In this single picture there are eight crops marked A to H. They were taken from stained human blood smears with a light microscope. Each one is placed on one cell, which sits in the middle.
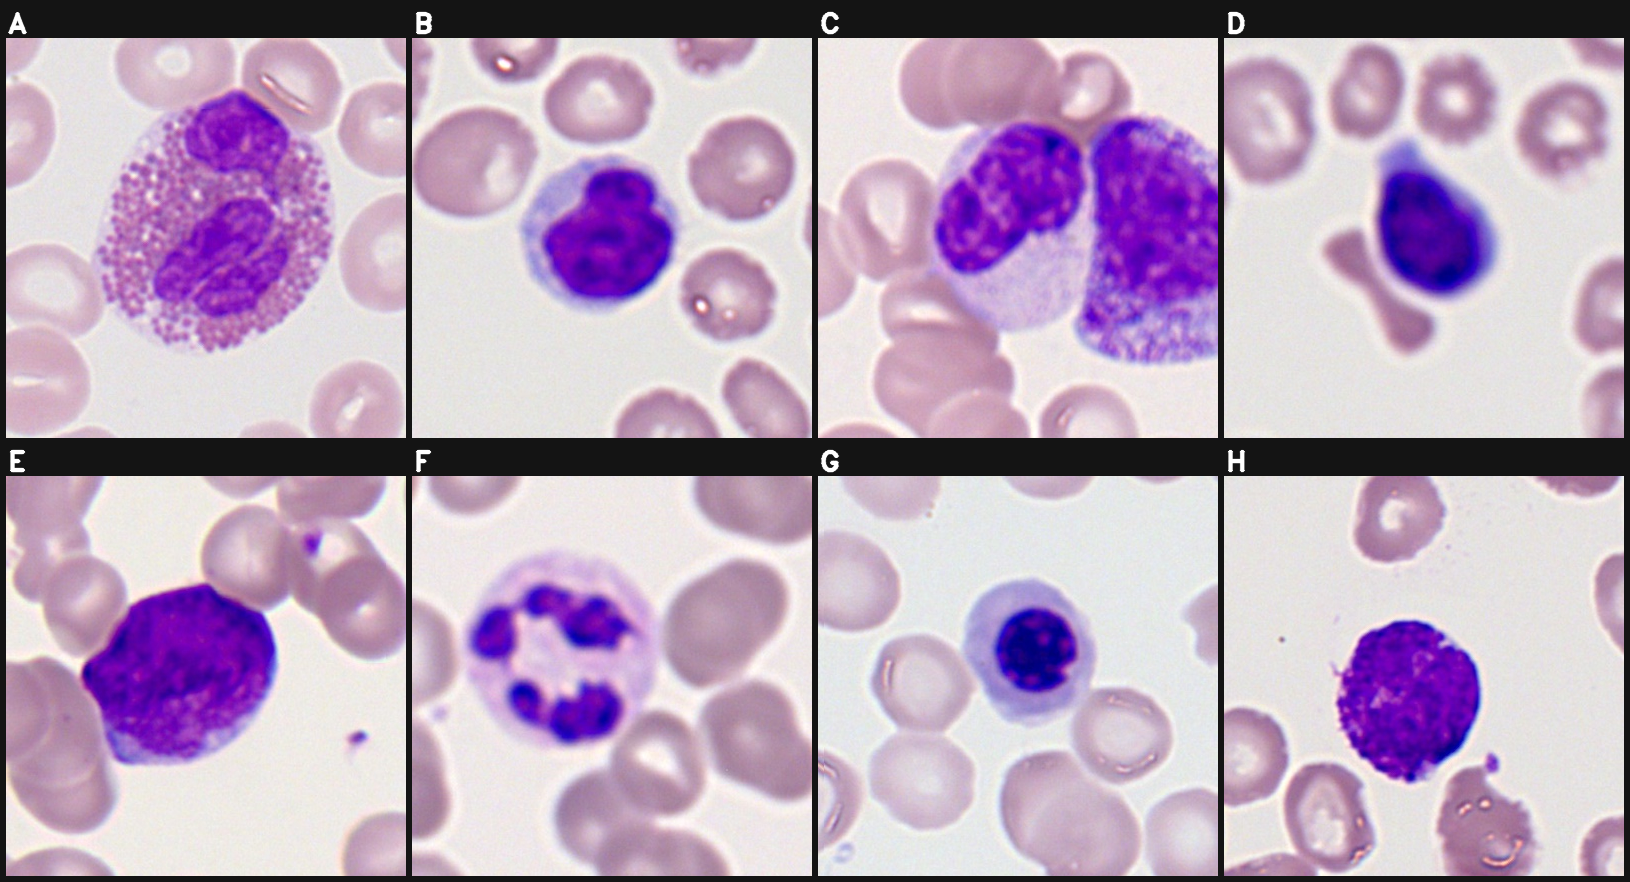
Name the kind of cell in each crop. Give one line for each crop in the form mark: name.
A: eosinophil
B: lymphocyte
C: band neutrophil
D: lymphocyte
E: myeloblast
F: segmented neutrophil
G: erythroblast
H: basophil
